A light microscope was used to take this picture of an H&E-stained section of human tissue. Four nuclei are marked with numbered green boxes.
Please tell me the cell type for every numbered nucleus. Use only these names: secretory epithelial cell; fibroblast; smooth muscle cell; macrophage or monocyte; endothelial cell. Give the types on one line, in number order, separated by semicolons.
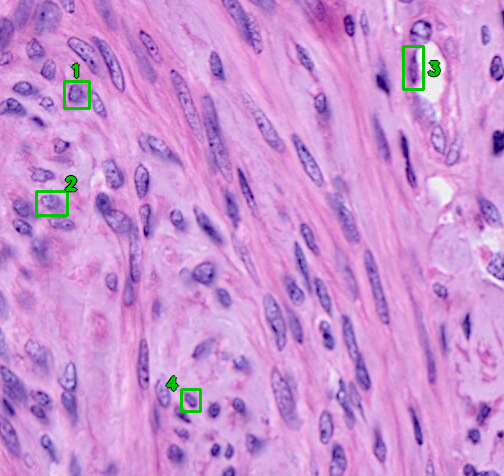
smooth muscle cell; smooth muscle cell; endothelial cell; smooth muscle cell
